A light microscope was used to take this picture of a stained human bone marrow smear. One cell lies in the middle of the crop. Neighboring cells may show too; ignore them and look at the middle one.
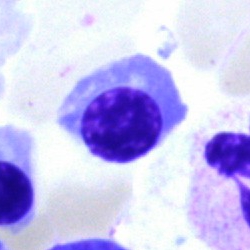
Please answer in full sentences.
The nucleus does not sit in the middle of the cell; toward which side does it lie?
The nucleus is pushed toward the bottom of the cell.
